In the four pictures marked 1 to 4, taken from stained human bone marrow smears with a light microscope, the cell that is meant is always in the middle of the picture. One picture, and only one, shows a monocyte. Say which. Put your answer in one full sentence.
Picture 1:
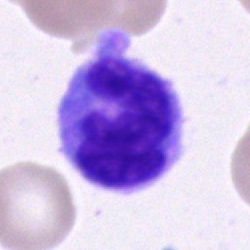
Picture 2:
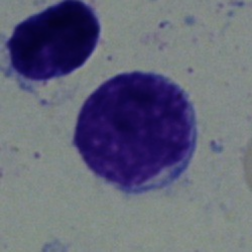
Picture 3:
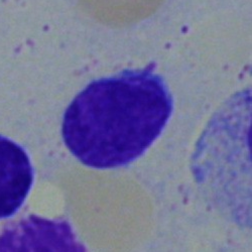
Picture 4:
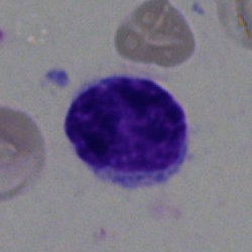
The monocyte is the one in picture 1.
